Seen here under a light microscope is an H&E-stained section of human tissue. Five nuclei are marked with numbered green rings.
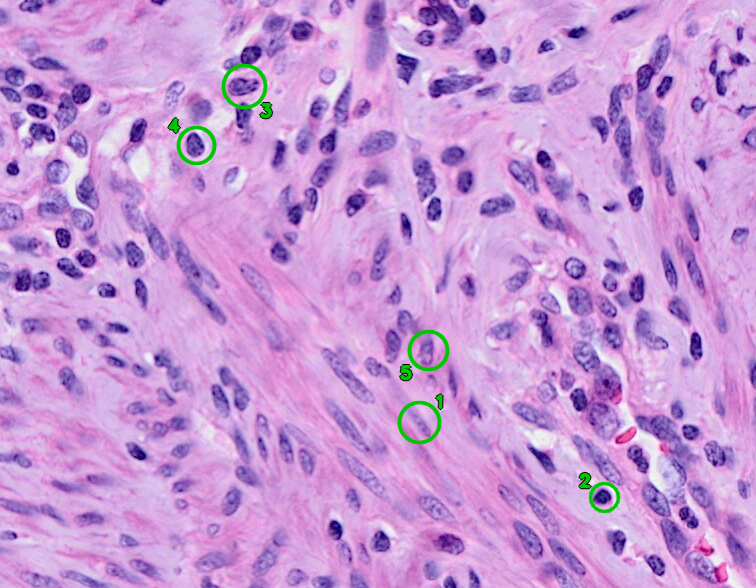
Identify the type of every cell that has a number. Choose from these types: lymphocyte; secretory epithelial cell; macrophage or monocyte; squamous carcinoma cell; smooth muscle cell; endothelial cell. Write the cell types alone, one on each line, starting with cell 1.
smooth muscle cell
lymphocyte
lymphocyte
lymphocyte
smooth muscle cell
